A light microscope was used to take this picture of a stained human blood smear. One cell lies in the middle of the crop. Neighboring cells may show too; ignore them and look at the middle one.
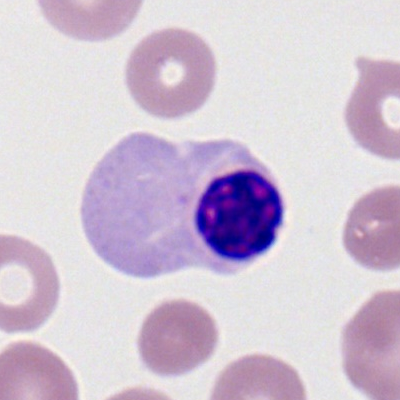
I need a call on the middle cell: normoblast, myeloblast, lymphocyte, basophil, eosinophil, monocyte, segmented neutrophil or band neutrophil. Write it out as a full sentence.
The cell under consideration, at the middle of the crop, is a normoblast.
